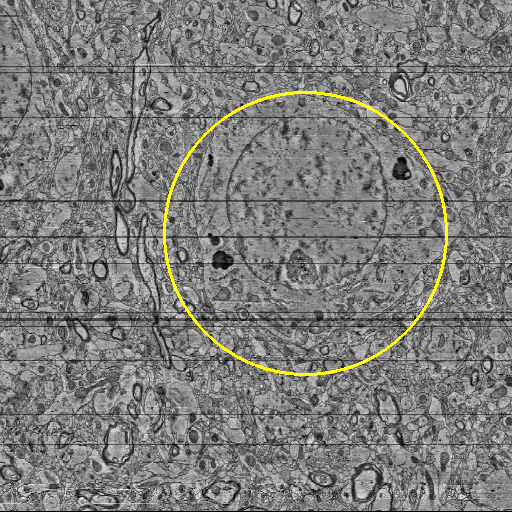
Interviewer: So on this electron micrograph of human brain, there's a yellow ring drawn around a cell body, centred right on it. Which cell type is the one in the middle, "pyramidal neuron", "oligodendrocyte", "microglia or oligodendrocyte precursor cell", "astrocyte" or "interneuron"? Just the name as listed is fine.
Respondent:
pyramidal neuron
